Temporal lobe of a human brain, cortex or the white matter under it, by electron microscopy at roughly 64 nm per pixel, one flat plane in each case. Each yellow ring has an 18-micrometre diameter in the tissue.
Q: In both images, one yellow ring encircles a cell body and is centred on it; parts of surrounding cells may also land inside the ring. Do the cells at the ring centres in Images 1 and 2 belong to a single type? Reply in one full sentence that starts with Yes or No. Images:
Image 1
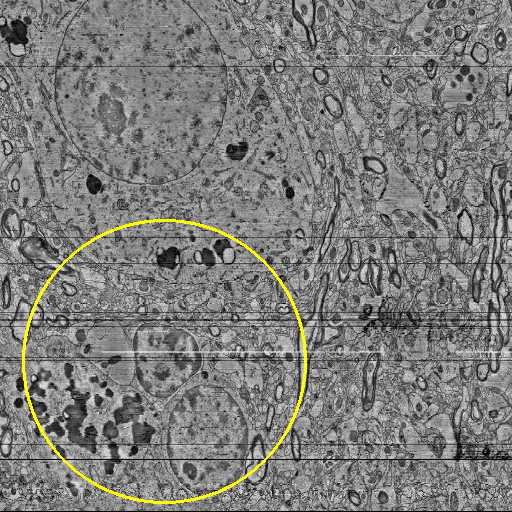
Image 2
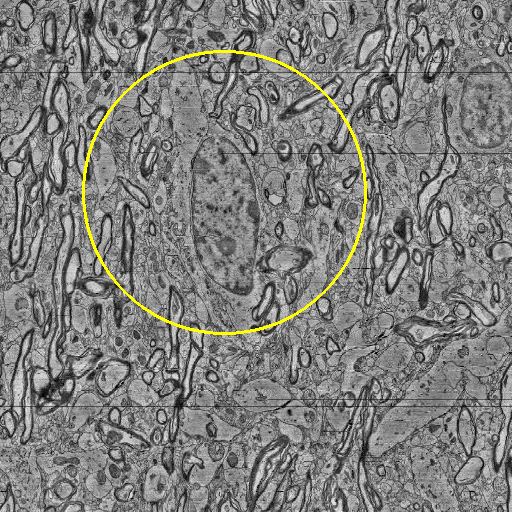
Yes, the cells at the ring centres in Images 1 and 2 are of a single type.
